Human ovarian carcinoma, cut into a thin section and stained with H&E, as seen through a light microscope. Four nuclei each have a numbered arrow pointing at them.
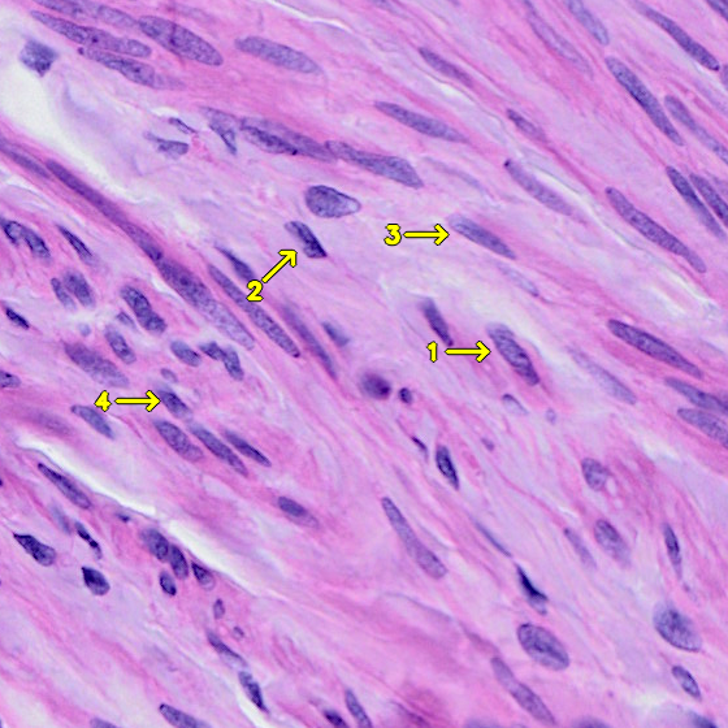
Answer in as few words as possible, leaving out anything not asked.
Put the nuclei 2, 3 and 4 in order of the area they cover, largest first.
3, 2, 4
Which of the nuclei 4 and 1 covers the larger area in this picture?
1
